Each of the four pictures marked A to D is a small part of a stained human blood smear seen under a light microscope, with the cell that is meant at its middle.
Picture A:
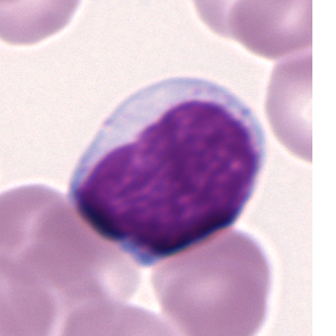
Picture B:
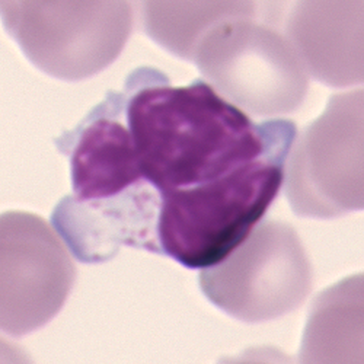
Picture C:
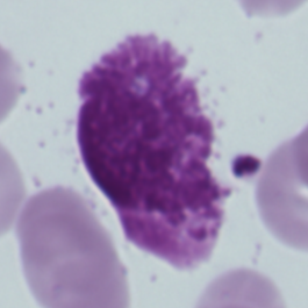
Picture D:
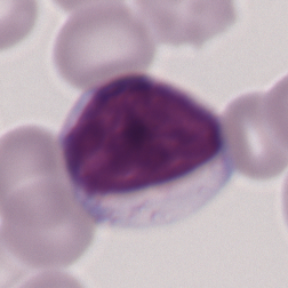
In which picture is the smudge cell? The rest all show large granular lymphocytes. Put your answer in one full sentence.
The cell in picture C is the smudge cell.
